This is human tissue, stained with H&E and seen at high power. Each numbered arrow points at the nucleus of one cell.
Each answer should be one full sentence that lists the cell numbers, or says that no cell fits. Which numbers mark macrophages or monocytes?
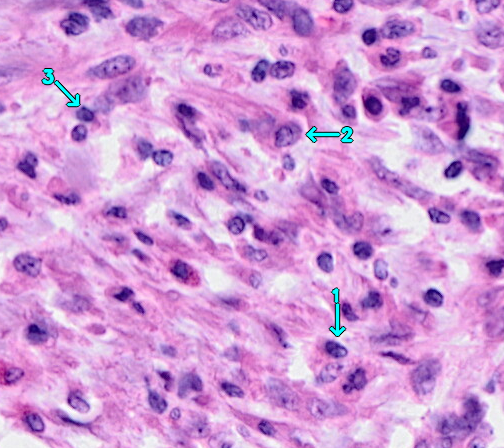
Among the numbered nuclei, only the one labelled 2 belongs to a macrophage or monocyte.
